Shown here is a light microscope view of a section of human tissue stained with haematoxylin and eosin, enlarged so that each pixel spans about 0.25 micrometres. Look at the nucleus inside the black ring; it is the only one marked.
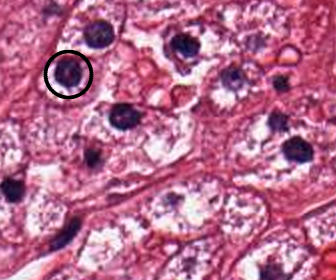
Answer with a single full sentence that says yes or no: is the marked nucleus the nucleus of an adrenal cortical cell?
Yes, in the picture the marked nucleus belongs to an adrenal cortical cell.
